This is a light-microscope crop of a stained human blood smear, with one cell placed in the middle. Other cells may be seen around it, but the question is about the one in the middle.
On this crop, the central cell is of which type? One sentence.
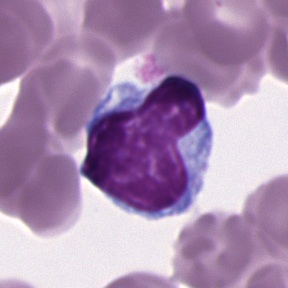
At the crop's centre, the cell is a typical lymphocyte.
